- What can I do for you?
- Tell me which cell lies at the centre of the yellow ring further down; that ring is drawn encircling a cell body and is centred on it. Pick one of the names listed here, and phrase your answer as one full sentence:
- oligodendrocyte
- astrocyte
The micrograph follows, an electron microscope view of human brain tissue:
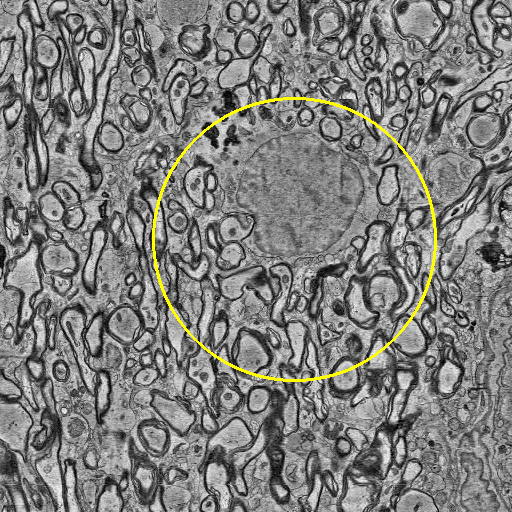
The cell whose body lies at the centre of the yellow ring is an oligodendrocyte.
